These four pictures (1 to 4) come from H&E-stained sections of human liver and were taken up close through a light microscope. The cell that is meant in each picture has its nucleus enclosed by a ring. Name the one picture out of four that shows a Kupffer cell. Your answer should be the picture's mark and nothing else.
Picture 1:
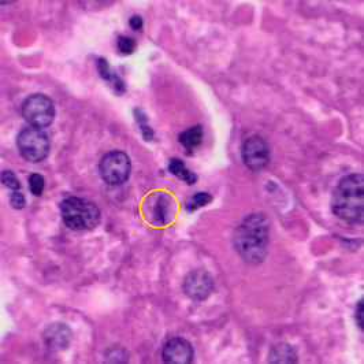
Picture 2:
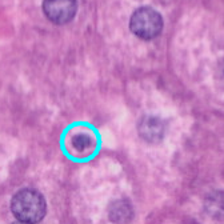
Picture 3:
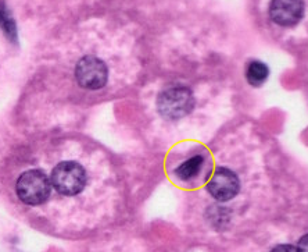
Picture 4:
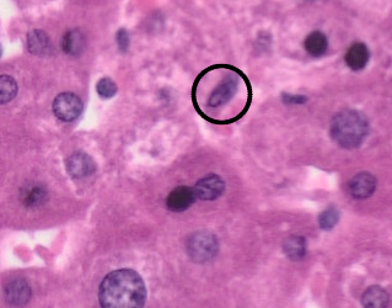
4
